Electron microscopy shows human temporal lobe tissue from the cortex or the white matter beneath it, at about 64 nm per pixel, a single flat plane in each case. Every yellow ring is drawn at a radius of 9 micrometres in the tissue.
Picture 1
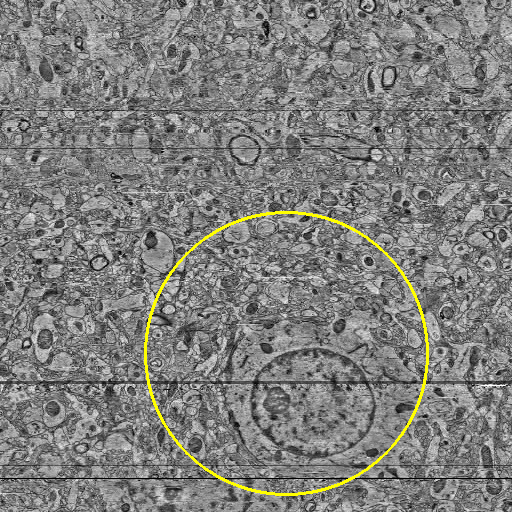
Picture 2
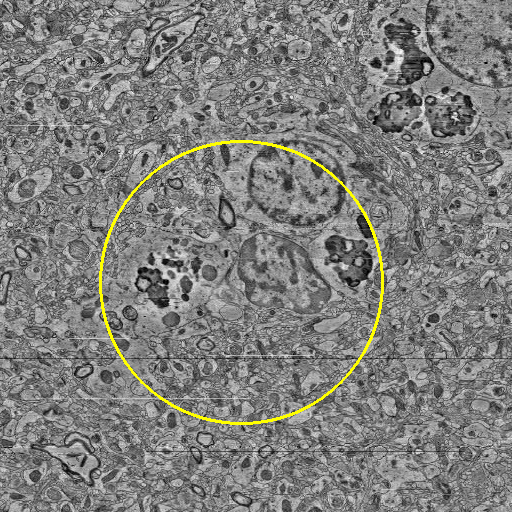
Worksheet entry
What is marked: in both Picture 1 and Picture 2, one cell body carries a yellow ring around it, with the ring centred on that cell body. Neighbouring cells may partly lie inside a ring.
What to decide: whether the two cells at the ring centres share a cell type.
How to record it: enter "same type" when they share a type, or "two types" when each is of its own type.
two types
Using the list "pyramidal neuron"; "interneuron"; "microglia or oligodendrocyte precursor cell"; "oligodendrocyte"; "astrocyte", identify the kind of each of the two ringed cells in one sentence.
The first is an astrocyte and the second is a microglial cell or oligodendrocyte precursor cell.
